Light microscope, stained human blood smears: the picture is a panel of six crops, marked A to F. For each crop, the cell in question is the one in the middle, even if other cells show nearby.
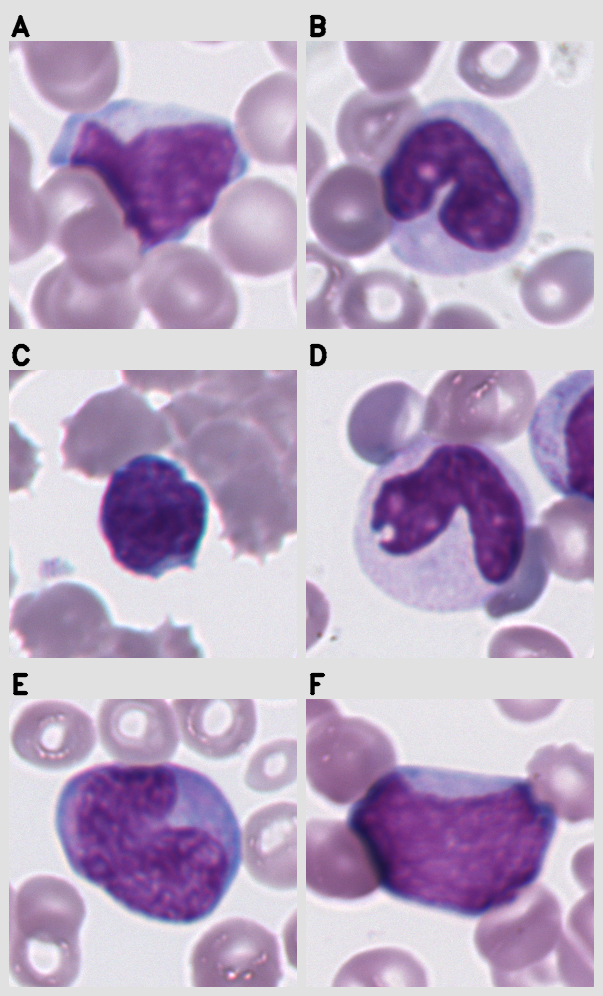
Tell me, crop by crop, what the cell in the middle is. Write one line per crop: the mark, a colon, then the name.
A: typical lymphocyte
B: band neutrophil
C: typical lymphocyte
D: band neutrophil
E: atypical promyelocyte
F: myeloblast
